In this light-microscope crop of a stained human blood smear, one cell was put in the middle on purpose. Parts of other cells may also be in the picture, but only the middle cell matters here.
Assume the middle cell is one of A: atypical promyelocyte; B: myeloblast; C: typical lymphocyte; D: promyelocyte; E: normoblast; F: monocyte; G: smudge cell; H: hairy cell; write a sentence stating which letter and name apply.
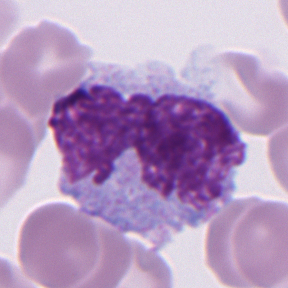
Option F is the keyed answer: the cell in the middle is a monocyte.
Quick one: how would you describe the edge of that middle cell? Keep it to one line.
A ragged or projecting edge replaces the smooth outline in this cell.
